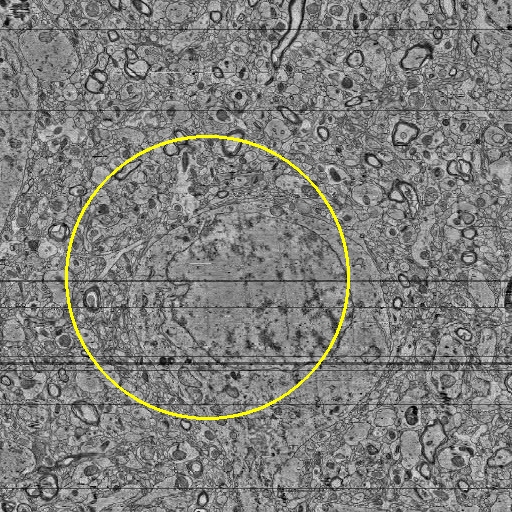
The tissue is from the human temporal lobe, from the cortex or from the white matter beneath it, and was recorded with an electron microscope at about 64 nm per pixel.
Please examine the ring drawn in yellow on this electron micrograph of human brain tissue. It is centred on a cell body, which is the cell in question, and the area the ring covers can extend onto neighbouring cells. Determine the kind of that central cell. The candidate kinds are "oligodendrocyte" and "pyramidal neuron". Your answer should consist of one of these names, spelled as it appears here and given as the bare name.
pyramidal neuron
